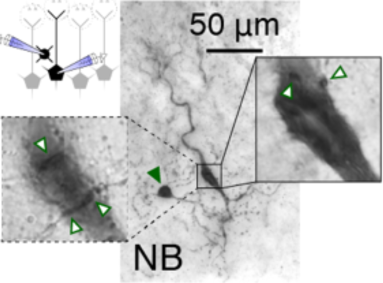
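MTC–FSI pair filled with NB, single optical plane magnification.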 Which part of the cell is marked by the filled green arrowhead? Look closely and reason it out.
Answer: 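The filled arrowhead points to a small, dark, rounded body. Thin processes leave this rounded body.
Hence: interneuron somata.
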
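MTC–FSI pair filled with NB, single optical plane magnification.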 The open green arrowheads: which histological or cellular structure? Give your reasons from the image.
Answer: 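Synaptic contact. The open arrowheads point to small dark swellings lying against a large cell body in the magnified views.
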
